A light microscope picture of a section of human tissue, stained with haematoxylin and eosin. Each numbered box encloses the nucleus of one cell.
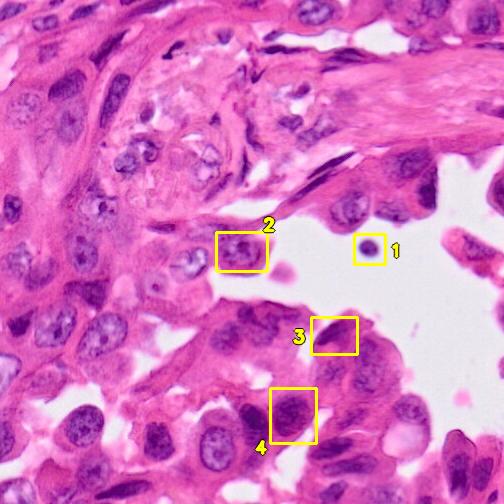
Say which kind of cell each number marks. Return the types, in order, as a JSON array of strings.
["lymphocyte", "carcinoma cell", "carcinoma cell", "carcinoma cell"]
